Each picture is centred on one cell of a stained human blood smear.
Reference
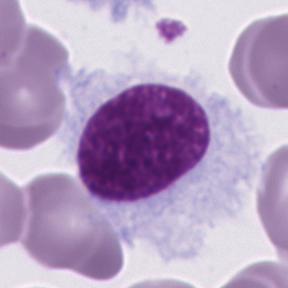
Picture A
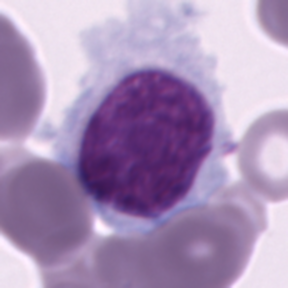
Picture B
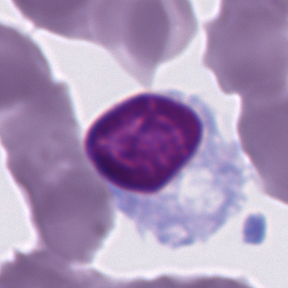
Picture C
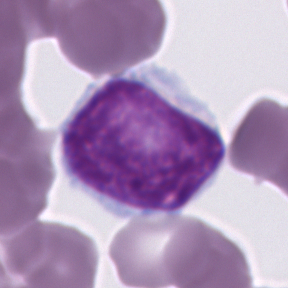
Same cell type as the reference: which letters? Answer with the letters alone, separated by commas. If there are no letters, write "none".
A, B, C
